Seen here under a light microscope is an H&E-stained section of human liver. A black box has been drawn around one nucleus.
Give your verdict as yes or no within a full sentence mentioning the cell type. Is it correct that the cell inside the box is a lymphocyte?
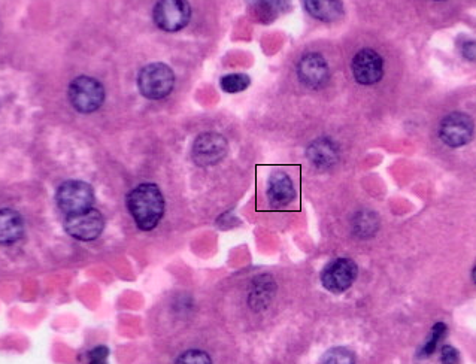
No, the cell inside the box represents a Kupffer cell and does not represent a lymphocyte.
